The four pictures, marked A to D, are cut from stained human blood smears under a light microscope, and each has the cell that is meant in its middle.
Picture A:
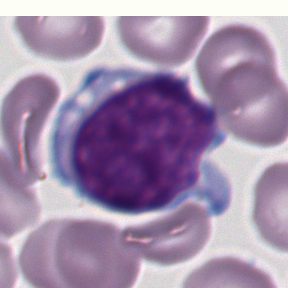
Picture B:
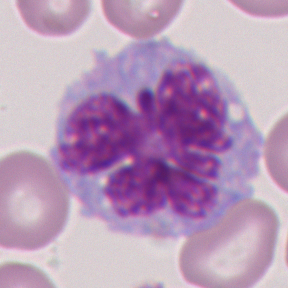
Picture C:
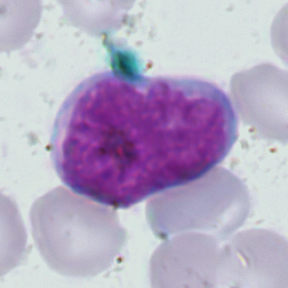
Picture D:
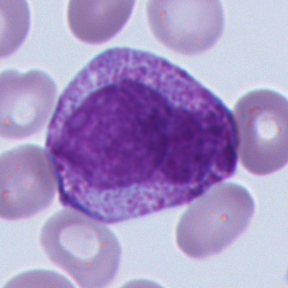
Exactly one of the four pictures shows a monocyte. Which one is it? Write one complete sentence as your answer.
The picture with the monocyte is B.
